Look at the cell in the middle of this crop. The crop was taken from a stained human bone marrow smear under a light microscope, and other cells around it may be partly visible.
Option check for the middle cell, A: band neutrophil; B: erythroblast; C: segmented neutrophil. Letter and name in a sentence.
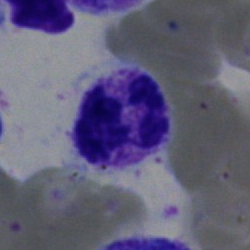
This one is option C, since the cell at the center is a segmented neutrophil.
